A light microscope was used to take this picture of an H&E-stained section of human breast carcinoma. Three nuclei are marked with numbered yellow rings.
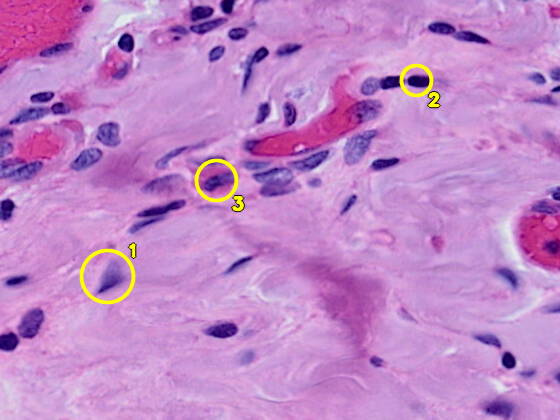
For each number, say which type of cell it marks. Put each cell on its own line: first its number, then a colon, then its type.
1: fibroblast
2: lymphocyte
3: mast cell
